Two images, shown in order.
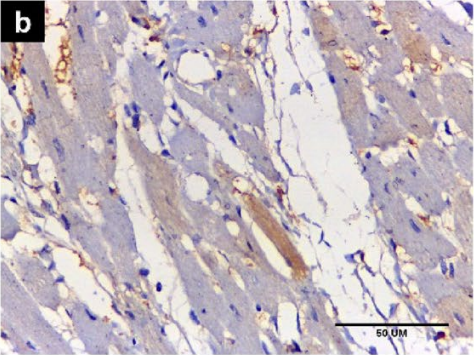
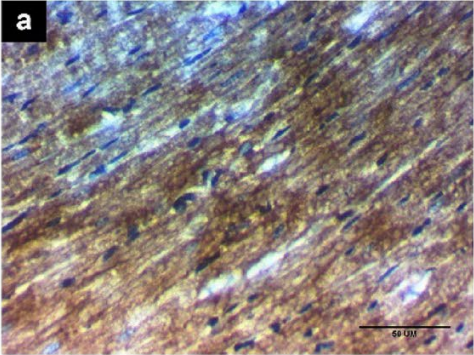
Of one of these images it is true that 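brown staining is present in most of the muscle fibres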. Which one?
the second image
